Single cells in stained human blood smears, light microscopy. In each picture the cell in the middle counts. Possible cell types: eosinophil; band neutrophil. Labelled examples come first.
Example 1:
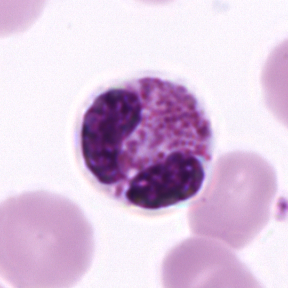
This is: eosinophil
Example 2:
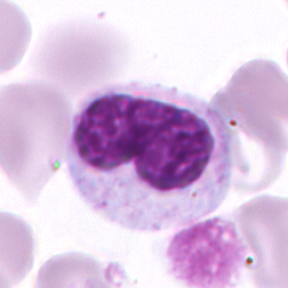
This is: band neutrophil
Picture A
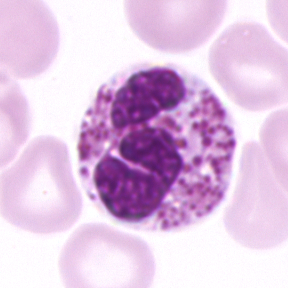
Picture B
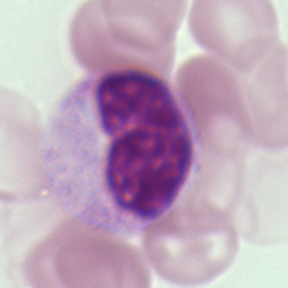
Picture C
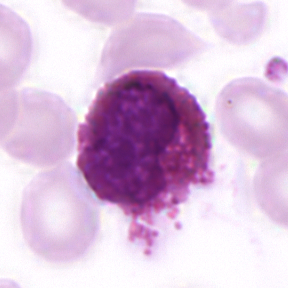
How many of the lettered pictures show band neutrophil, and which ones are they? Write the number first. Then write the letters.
1: B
